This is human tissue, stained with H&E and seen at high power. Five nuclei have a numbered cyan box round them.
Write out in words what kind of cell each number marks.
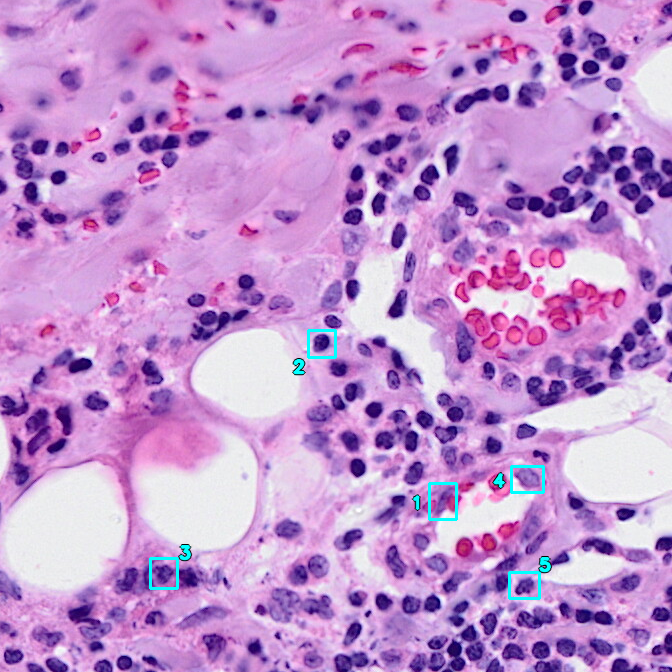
Cells 1 and 4 are endothelial cells. Cells 2, 3 and 5 are lymphocytes.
